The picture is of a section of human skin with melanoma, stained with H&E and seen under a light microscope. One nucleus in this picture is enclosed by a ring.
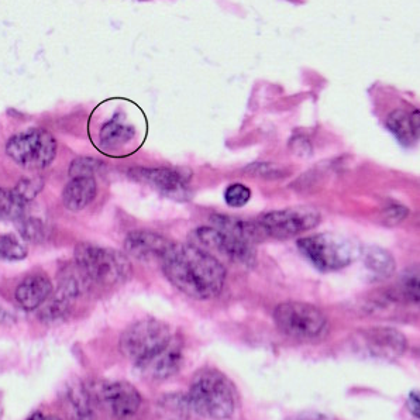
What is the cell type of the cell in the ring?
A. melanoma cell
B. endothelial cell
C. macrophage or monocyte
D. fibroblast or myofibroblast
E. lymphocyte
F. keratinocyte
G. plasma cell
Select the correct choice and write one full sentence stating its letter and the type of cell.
Of all the options, C is right, since the cell in the ring is a macrophage or monocyte.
